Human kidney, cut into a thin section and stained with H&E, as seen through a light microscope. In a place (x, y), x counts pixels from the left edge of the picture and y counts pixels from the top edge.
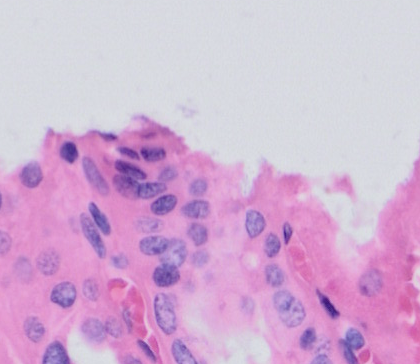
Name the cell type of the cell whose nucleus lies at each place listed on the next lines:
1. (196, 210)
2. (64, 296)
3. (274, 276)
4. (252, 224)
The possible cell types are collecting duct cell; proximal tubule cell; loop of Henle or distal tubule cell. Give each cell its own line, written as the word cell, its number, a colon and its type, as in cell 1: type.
cell 1: collecting duct cell
cell 2: loop of Henle or distal tubule cell
cell 3: collecting duct cell
cell 4: collecting duct cell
